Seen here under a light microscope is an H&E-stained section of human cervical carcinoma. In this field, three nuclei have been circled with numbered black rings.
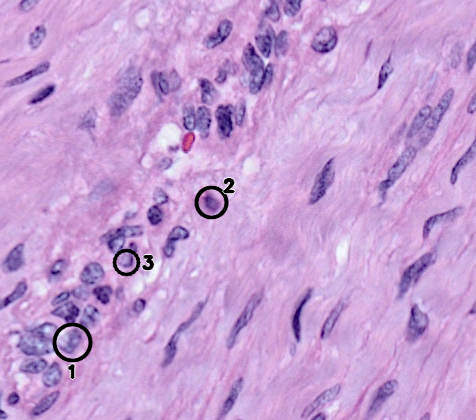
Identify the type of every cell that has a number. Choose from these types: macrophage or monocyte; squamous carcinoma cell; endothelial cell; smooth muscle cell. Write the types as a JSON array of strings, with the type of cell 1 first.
["endothelial cell", "smooth muscle cell", "endothelial cell"]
